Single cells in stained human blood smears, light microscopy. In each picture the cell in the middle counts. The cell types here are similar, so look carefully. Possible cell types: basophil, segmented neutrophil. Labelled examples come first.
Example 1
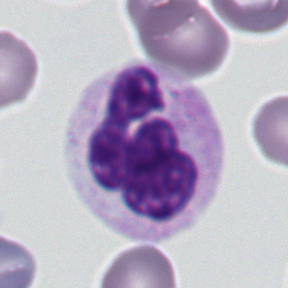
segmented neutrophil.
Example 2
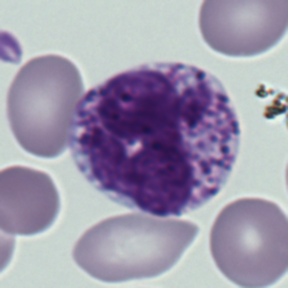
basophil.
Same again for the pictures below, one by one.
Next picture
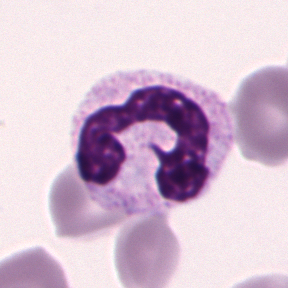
segmented neutrophil.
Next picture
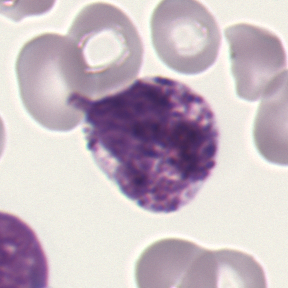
basophil.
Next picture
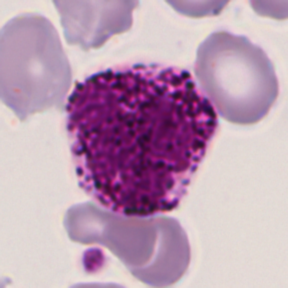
basophil.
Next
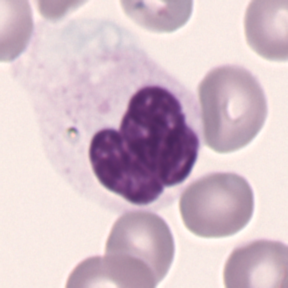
segmented neutrophil.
